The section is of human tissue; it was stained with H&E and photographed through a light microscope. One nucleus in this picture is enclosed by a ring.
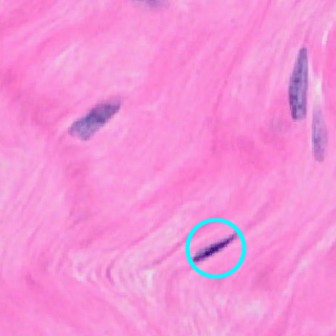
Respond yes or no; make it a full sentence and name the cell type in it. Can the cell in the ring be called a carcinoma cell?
No, the cell in the ring is best named a fibroblast, not a carcinoma cell.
